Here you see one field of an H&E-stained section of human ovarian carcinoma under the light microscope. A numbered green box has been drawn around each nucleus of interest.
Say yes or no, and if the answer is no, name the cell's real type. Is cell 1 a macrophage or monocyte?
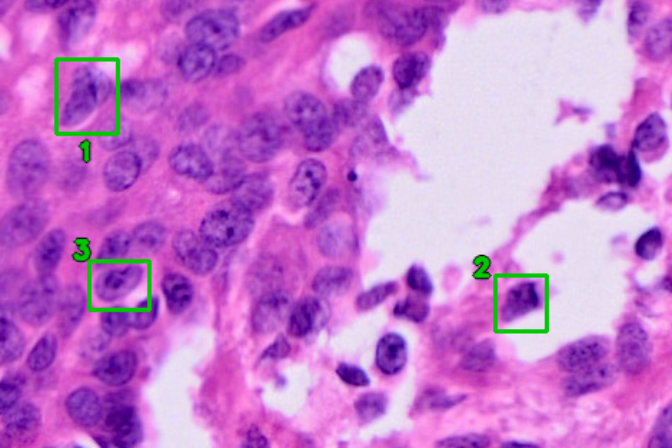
No, it is a carcinoma cell.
